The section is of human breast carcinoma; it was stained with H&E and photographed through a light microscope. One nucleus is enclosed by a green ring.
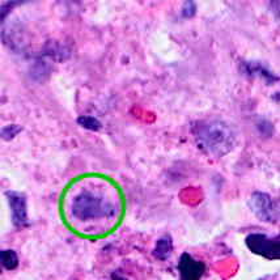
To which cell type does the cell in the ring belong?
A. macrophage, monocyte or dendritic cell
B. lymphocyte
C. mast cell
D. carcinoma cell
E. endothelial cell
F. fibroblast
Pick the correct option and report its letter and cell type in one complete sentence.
Option A is accurate, for the cell in the ring is a macrophage, monocyte or dendritic cell.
